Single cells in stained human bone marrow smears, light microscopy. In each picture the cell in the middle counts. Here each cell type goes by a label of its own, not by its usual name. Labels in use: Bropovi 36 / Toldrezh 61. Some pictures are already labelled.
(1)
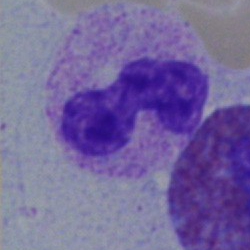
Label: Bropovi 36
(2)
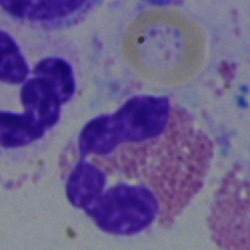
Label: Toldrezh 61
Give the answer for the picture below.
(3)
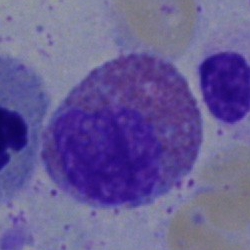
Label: Toldrezh 61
